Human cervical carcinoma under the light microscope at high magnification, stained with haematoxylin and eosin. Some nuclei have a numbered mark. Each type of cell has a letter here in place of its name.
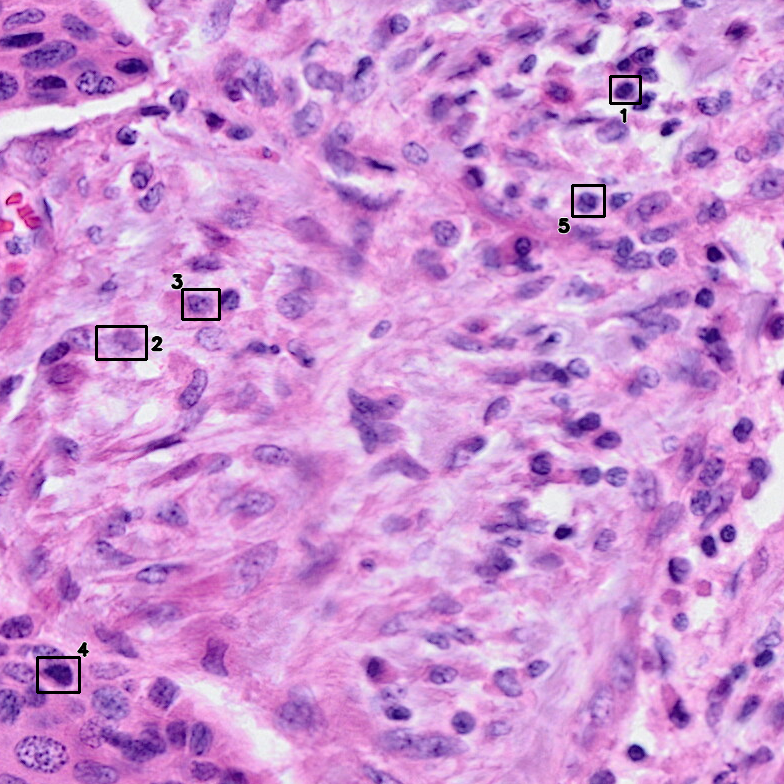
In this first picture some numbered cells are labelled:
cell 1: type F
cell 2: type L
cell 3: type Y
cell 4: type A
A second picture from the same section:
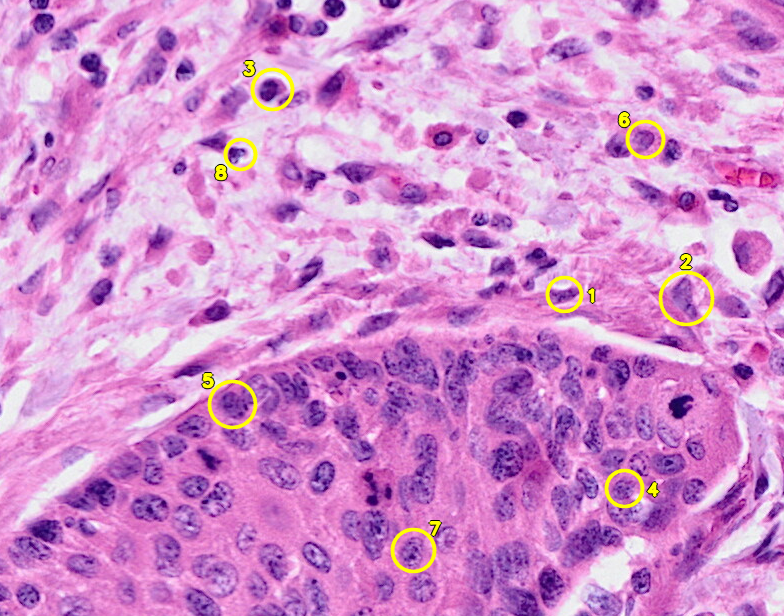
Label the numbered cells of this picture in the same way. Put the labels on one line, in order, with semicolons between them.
type L; type L; type F; type A; type A; type Y; type A; type F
